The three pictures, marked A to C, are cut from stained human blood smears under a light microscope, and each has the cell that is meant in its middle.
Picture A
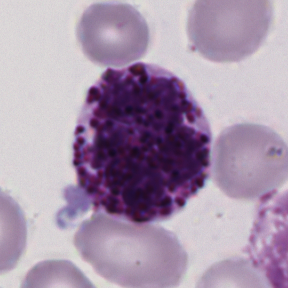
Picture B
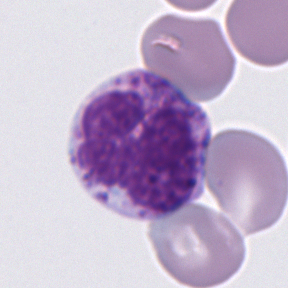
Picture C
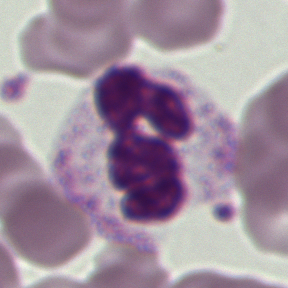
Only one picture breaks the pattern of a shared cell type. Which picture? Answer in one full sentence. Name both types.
Picture C is the odd one out: it shows a segmented neutrophil, while the others show basophils.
